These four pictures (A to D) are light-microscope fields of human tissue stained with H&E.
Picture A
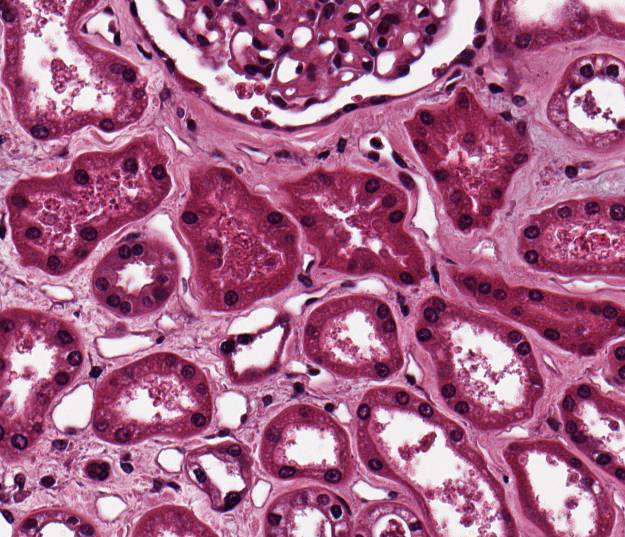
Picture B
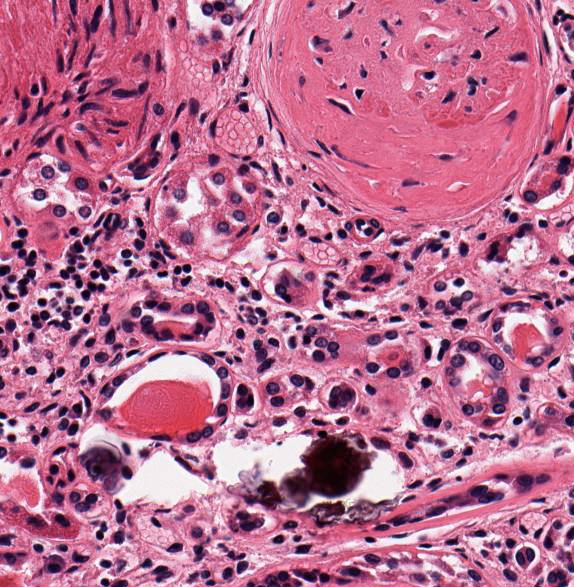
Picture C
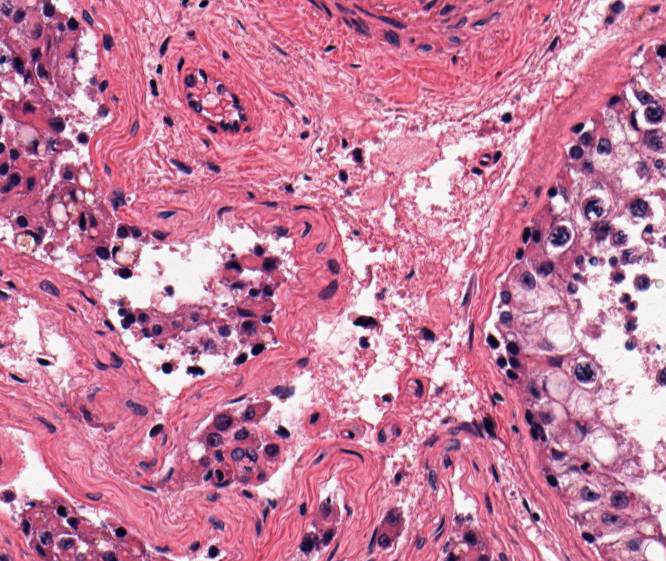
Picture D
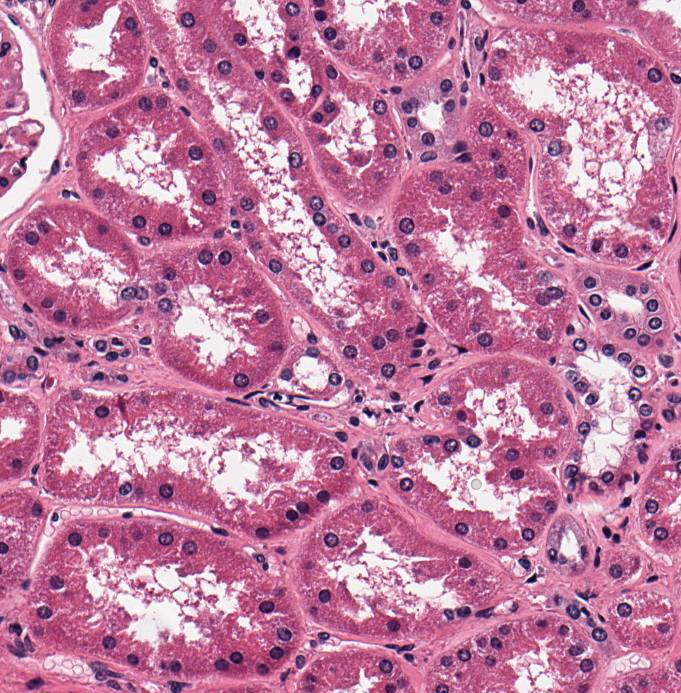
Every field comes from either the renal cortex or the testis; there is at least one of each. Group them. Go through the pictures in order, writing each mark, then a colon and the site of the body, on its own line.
A: renal cortex
B: renal cortex
C: testis
D: renal cortex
